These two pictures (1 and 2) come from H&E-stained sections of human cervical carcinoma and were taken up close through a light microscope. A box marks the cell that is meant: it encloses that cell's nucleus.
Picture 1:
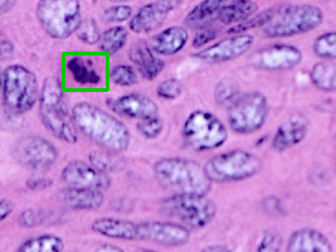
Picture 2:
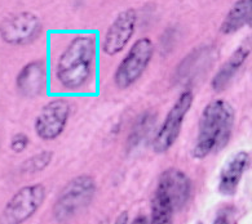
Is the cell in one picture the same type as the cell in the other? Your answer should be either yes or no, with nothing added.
yes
